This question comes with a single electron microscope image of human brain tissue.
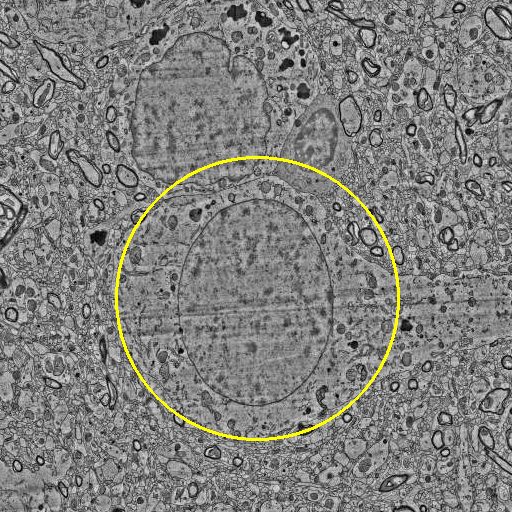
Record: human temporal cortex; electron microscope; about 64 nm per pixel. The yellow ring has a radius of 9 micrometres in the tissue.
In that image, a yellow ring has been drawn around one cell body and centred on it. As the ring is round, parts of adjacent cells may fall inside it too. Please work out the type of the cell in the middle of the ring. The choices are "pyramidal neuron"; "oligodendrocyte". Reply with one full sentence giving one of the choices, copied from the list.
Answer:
Of the choices, a pyramidal neuron is the cell sitting in the middle of the ring.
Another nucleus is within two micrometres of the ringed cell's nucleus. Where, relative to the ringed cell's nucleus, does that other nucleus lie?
The other one is above it.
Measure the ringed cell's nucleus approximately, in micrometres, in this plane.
The nucleus measures about 13 by 10 micrometres in this plane.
